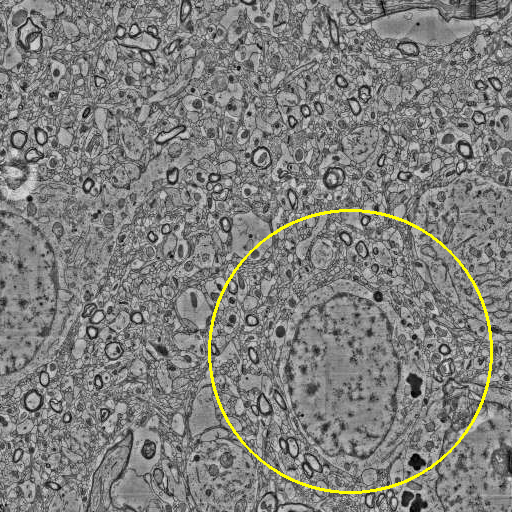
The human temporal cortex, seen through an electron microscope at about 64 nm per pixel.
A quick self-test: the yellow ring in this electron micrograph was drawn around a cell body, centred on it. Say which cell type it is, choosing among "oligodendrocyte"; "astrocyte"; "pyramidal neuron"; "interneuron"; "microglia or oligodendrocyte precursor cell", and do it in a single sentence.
The yellow-ringed cell is an interneuron.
